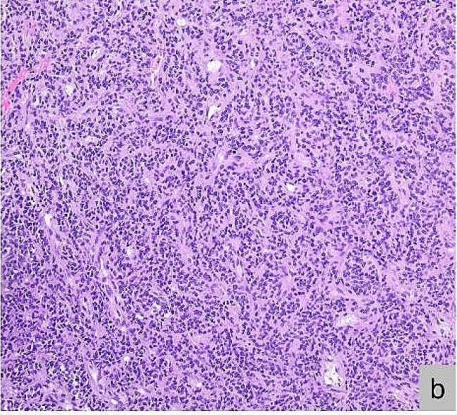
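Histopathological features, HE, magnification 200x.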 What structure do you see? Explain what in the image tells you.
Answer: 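Cells line up in cords and ribbons. Thin pale strands separate the cords. The answer: Trabecular arrangement.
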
